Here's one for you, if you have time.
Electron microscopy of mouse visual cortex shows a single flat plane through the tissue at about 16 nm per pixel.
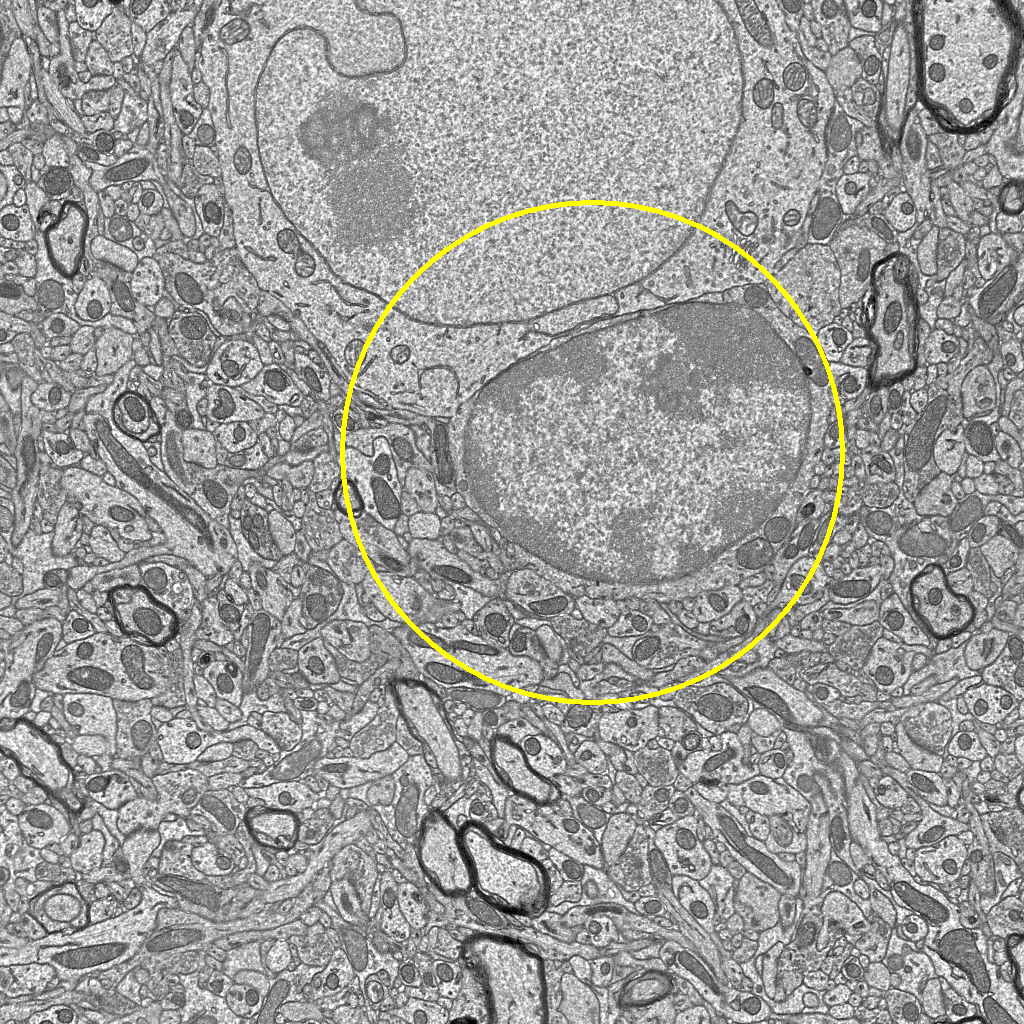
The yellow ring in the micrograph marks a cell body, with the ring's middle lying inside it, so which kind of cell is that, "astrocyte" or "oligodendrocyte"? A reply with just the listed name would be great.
oligodendrocyte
